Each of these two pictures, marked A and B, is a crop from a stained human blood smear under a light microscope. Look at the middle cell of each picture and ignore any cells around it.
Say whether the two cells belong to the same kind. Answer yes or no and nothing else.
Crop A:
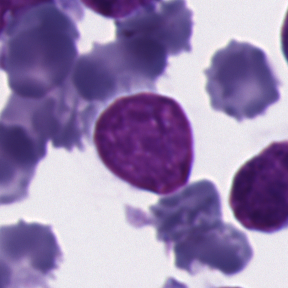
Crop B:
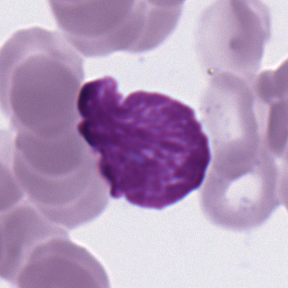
yes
